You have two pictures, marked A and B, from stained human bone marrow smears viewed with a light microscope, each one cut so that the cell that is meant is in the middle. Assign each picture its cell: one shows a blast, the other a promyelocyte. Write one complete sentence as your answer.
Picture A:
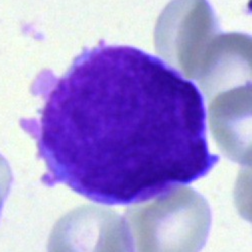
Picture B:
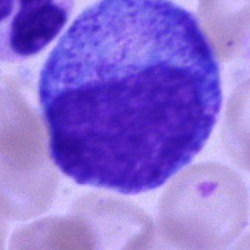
In picture A the cell is a blast; in picture B, a promyelocyte.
